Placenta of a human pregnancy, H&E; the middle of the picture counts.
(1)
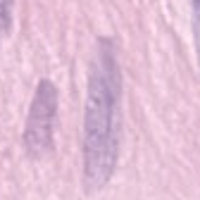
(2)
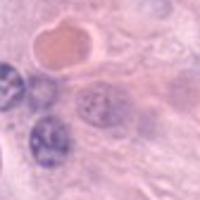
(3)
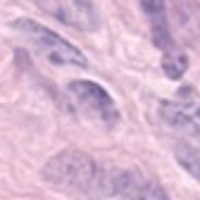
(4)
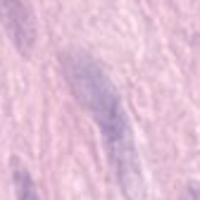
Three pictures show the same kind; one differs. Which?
Picture 2: a cytotrophoblast, while the others are vascular myocytes.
